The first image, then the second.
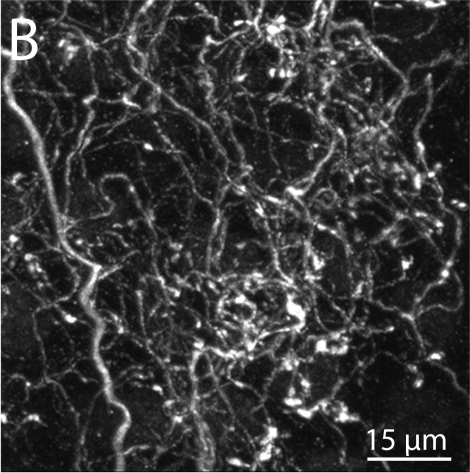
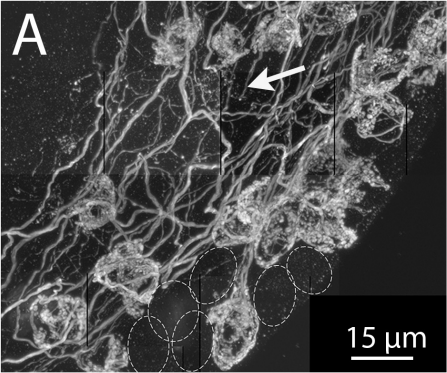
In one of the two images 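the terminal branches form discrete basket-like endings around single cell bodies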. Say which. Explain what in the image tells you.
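First image: thin beaded fibers branch diffusely through the field with no distinct rings. Second image: dense, round, cup-shaped clusters of endings sit around individual cell-sized spaces.
Answer: the second image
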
